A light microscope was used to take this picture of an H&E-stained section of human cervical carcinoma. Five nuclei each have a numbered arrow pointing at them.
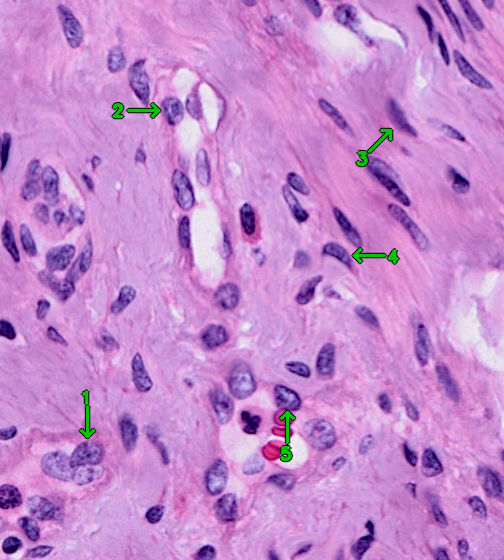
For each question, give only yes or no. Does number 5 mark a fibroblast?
no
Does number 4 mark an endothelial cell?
no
